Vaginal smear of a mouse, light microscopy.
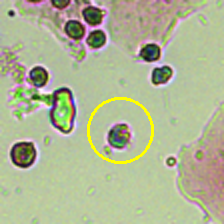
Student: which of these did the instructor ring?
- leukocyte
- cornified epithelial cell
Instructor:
The cell I ringed is a leukocyte.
